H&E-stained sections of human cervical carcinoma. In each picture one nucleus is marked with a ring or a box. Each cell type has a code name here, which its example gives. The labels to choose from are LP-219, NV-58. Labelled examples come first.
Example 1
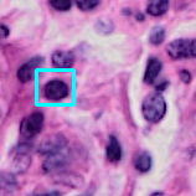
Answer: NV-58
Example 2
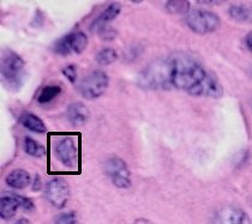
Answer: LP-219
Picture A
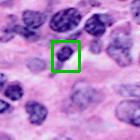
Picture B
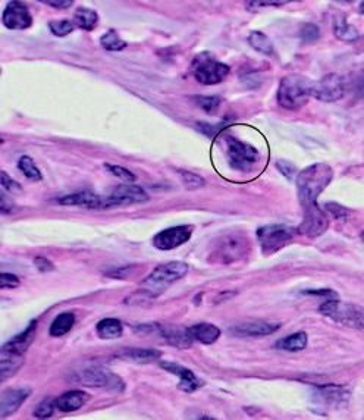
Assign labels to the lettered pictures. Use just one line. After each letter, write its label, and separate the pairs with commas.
A NV-58, B NV-58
